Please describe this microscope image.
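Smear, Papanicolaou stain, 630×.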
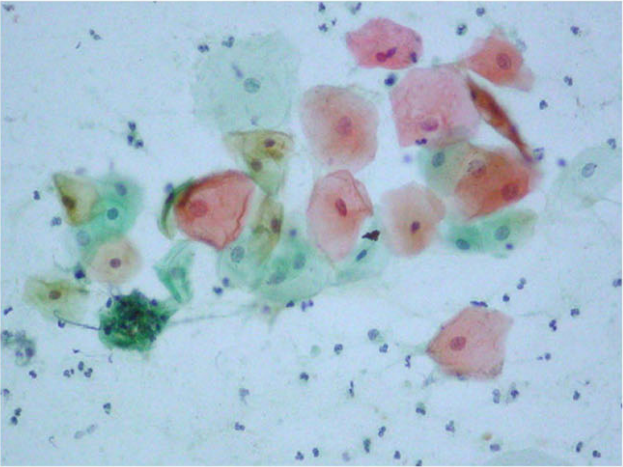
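The squamous cells are large, flat and polygonal, some with pink-orange cytoplasm and small dense nuclei, others with pale green or yellowish cytoplasm and slightly larger oval nuclei. Several cells have folded or curled edges, and one is seen edge-on as an elongated orange sliver. A small dark green clump of material with trapped small cells lies at the lower left of the group. Numerous small round dark nuclei of leukocytes are scattered through the clear background between the epithelial cells.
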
